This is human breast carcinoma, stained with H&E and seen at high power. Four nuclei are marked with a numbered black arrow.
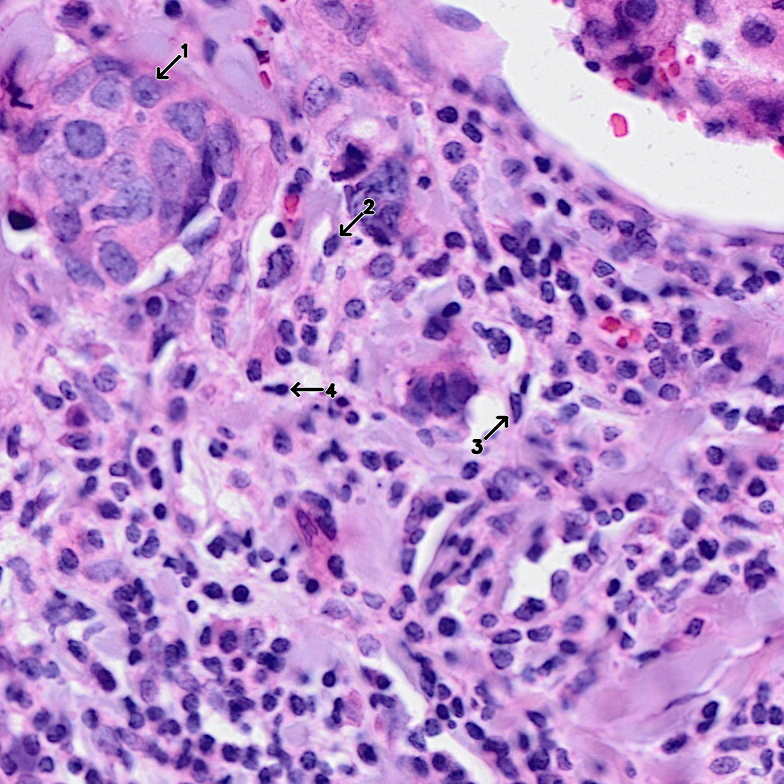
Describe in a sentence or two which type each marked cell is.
Cell 1 is a carcinoma cell, cell 2 is a lymphocyte, cell 3 is a lymphocyte and cell 4 is a lymphocyte.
